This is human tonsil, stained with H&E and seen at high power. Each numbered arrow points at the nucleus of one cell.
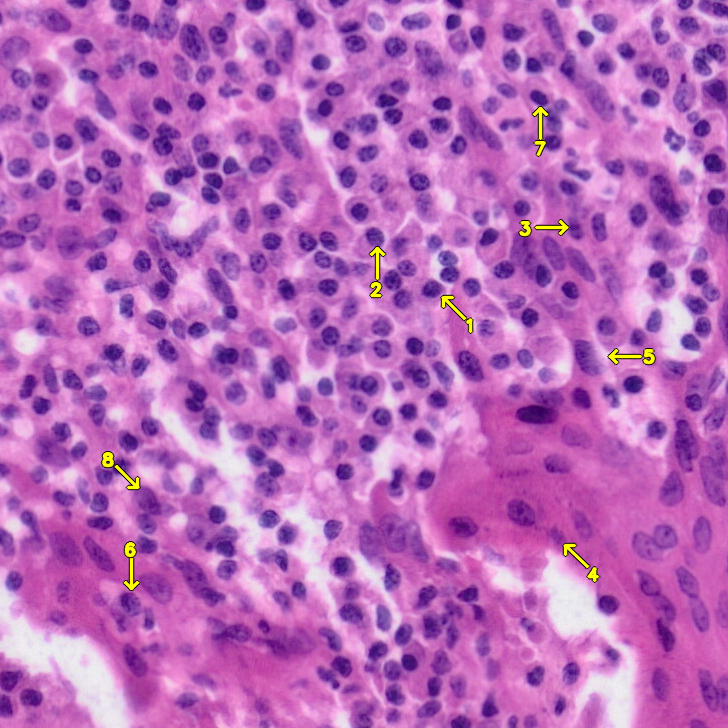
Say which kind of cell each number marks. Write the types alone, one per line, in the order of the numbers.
plasma cell
plasma cell
squamous epithelial cell
squamous epithelial cell
squamous epithelial cell
squamous epithelial cell
plasma cell
squamous epithelial cell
